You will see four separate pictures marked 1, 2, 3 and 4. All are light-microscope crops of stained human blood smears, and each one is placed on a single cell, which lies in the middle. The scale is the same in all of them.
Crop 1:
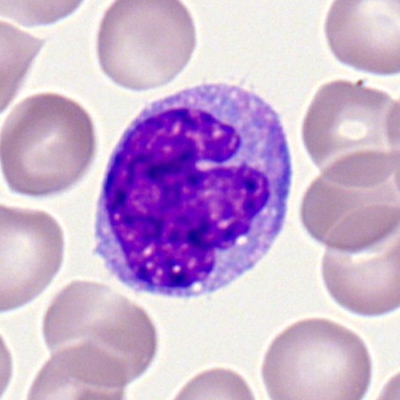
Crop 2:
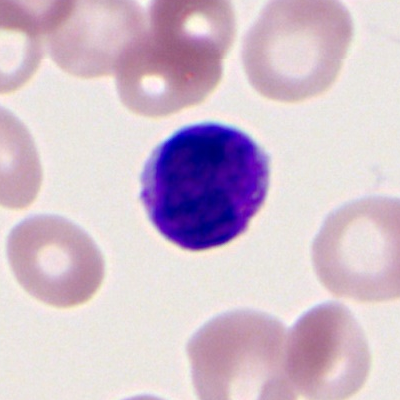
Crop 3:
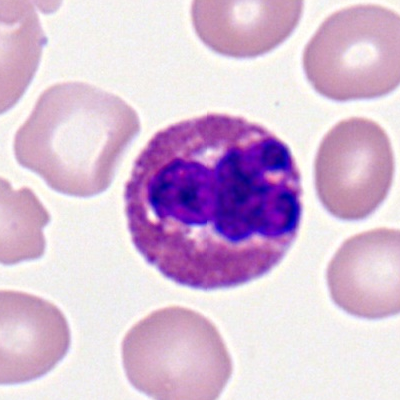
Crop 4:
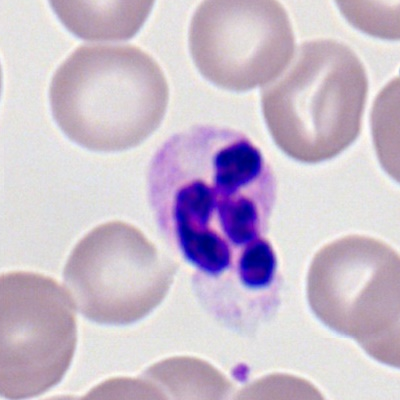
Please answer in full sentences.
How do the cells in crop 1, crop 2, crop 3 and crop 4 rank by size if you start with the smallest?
Going up, they run 2, 4, 3, 1.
